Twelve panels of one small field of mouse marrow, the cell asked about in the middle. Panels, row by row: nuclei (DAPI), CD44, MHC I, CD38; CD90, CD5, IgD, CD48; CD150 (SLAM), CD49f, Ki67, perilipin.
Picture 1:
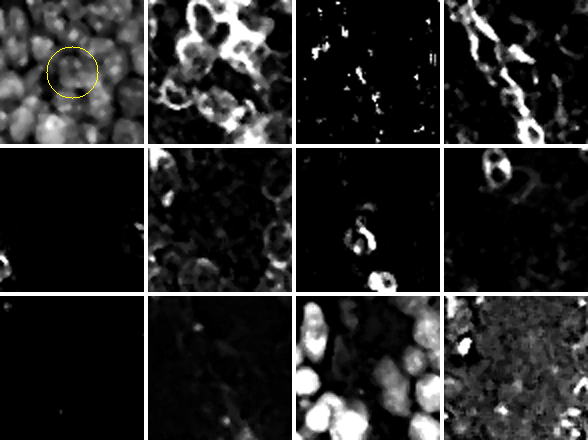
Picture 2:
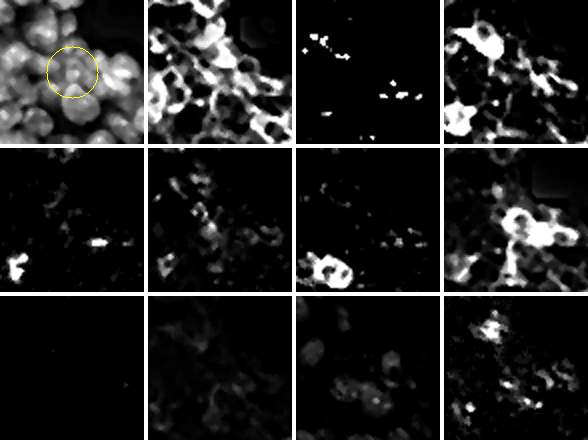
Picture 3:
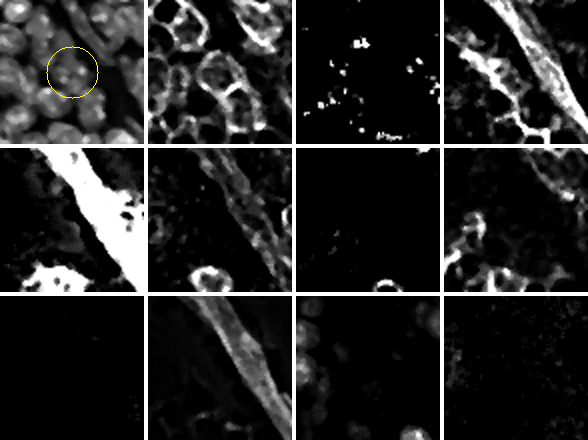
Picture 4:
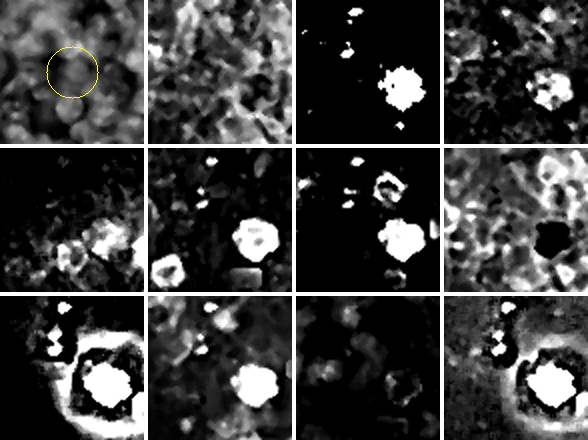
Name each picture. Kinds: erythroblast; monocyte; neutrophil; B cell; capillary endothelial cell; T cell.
1. capillary endothelial cell
2. monocyte
3. neutrophil
4. monocyte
